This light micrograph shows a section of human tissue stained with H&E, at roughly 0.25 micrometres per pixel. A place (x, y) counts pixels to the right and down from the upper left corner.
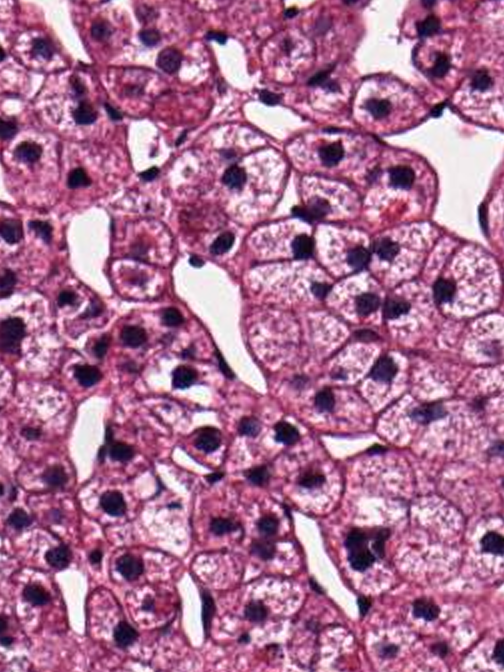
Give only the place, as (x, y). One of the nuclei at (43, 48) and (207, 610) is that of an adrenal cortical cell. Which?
(43, 48)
